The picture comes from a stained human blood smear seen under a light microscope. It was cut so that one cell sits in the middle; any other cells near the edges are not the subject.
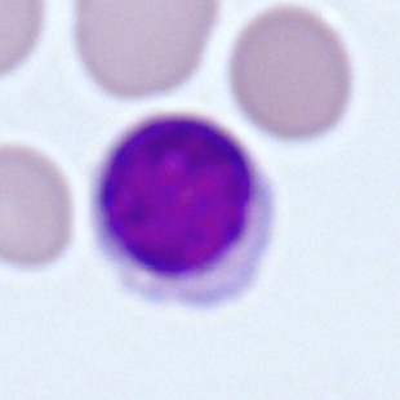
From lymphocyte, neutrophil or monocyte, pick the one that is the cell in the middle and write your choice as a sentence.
In the central position of this crop, the cell is a lymphocyte.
